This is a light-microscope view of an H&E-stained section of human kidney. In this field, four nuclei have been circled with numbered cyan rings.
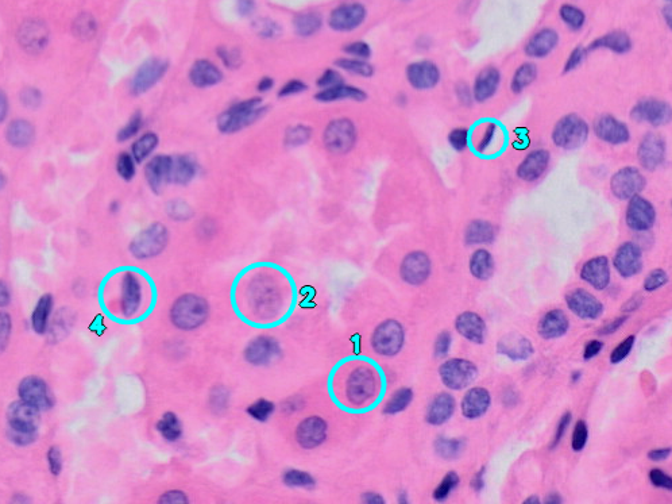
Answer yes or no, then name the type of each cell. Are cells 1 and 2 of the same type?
Yes, cell number 1 and cell number 2 are both proximal tubule cells.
